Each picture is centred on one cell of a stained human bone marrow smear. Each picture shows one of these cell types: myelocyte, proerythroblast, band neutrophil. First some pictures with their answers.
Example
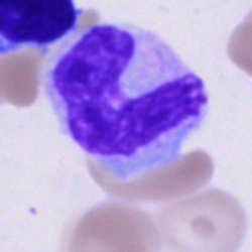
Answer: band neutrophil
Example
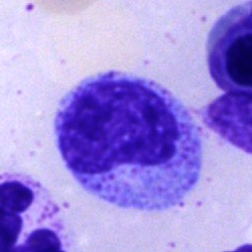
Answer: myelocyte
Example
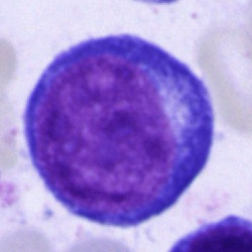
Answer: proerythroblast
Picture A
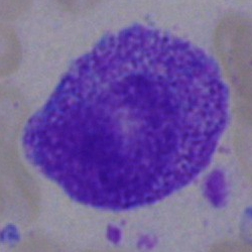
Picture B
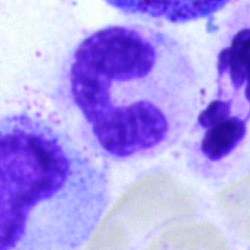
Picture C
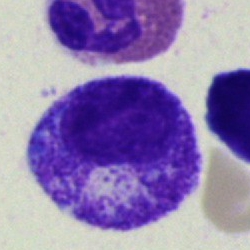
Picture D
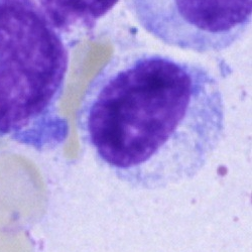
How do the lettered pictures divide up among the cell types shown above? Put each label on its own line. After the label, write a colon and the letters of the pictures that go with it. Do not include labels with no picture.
myelocyte: A, C, D
band neutrophil: B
